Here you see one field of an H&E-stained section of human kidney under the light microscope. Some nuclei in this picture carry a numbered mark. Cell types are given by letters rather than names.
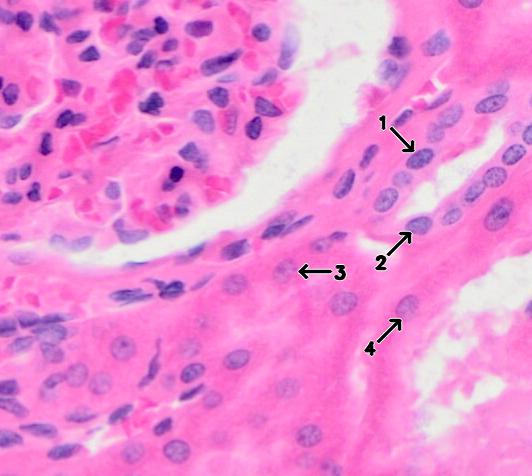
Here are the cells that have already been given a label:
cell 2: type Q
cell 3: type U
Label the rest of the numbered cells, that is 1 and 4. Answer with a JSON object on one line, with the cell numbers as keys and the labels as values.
{"1": "type Q", "4": "type U"}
